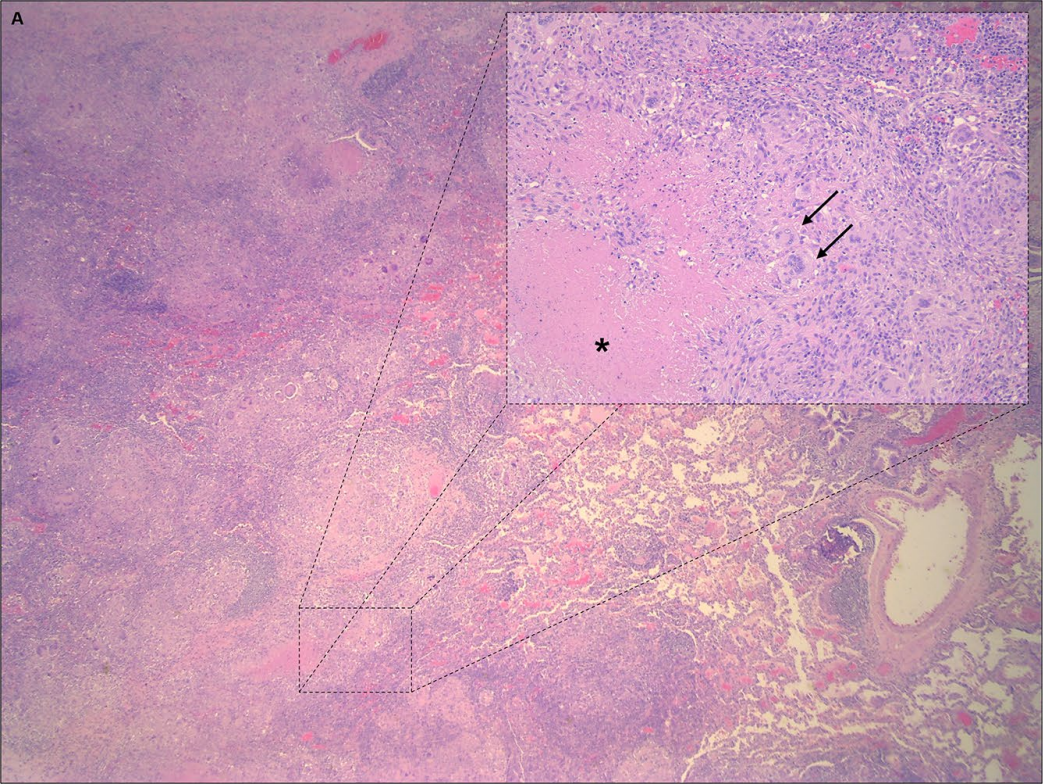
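Lung parenchyma whose normal architecture is largely replaced by sheets of dense inflammatory tissue, with only a strip of air spaces and a bronchiole-like airway with its vessel preserved at the lower right. Scattered pink, poorly cellular zones lie within the inflamed tissue. In the enlarged field, a homogeneous pink area almost without nuclei is bordered by a band of elongated pale cells. Among these lie large cells with several nuclei each. Smaller round inflammatory cells gather farther out from the pink area.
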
